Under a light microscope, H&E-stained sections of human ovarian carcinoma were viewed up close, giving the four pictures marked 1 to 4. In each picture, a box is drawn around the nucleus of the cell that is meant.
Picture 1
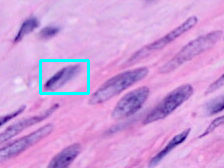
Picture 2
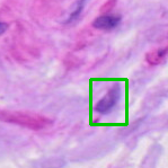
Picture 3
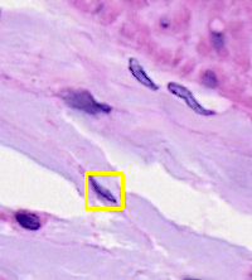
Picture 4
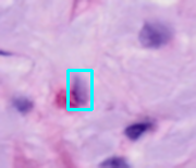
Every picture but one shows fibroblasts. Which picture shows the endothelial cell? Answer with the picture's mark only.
4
